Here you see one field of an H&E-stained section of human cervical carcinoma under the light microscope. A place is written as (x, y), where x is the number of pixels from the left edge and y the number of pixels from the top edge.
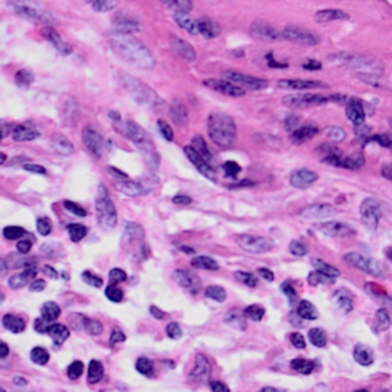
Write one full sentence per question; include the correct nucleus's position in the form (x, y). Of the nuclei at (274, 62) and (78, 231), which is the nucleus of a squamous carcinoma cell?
The nucleus at (274, 62) is contained in a squamous carcinoma cell.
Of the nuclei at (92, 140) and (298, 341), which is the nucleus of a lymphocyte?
Of the two nuclei present, the one at (298, 341) is within a lymphocyte.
